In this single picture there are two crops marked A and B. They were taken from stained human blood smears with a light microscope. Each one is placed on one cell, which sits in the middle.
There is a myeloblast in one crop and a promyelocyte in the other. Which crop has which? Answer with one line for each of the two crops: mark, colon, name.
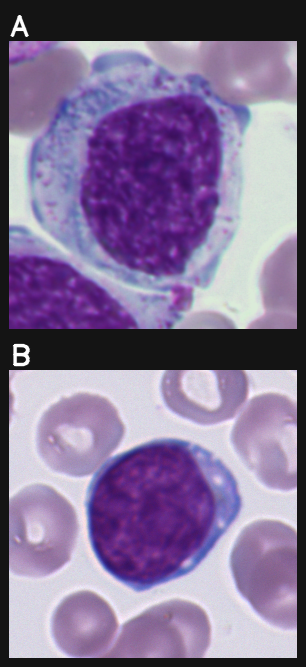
A: promyelocyte
B: myeloblast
